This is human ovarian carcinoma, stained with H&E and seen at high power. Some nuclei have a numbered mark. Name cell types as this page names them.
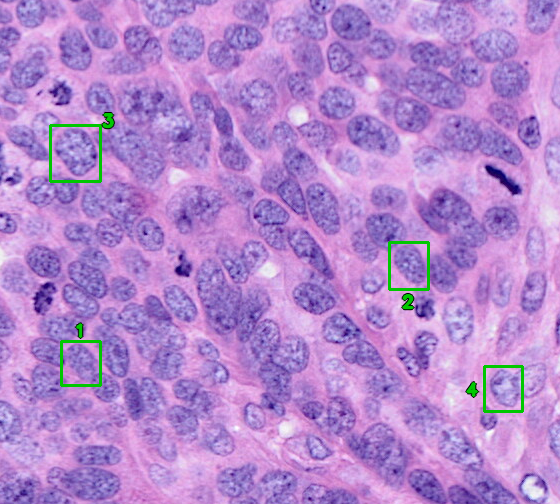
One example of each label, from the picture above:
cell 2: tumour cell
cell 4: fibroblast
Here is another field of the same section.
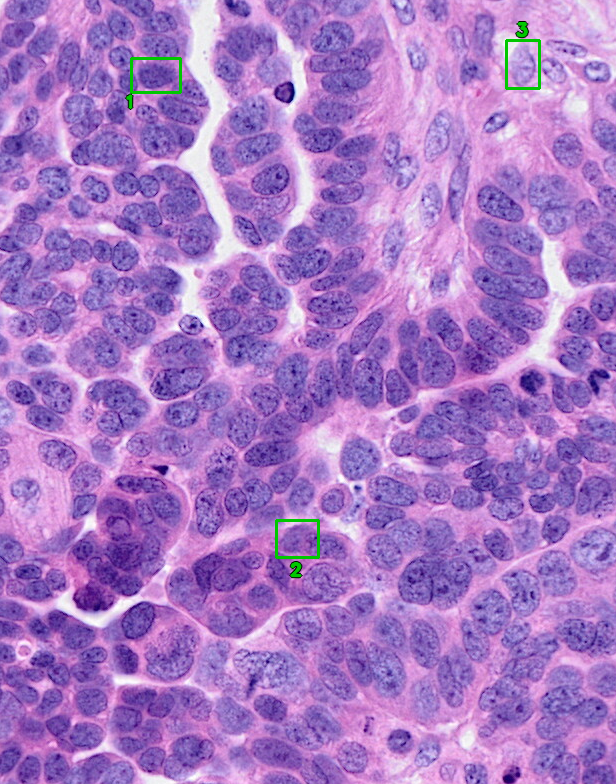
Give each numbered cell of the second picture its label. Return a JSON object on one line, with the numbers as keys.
{"1": "tumour cell", "2": "tumour cell", "3": "fibroblast"}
